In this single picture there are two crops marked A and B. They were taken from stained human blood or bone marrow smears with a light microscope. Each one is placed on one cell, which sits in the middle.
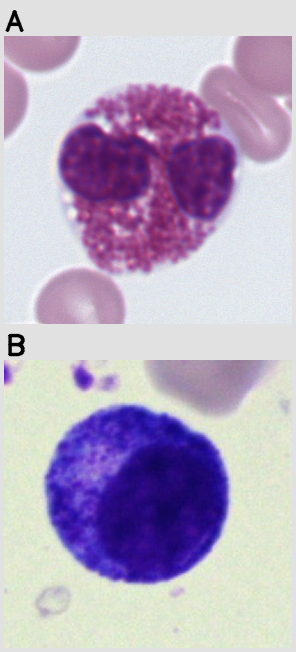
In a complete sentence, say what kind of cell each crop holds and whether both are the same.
No, for crop A the cell is an eosinophil, and for crop B it is a promyelocyte.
